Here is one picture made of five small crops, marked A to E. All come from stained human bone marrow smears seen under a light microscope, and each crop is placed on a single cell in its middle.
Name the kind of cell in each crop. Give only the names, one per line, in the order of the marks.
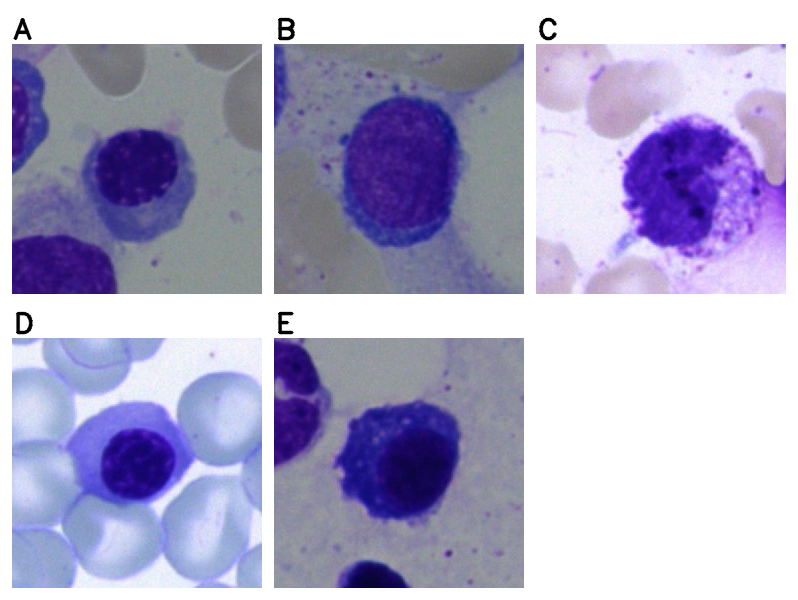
erythroblast
blast
basophil
erythroblast
plasma cell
